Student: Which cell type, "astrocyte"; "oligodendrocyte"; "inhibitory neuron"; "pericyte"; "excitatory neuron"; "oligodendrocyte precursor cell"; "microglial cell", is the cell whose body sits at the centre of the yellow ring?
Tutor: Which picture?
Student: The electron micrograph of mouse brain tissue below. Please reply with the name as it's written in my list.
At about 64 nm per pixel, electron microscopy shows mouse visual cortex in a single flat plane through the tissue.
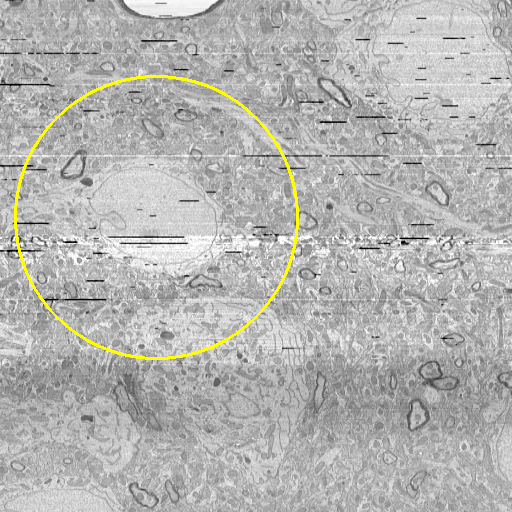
excitatory neuron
